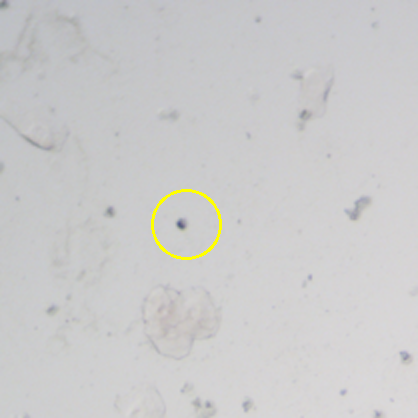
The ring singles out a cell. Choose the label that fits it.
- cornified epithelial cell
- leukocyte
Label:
leukocyte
